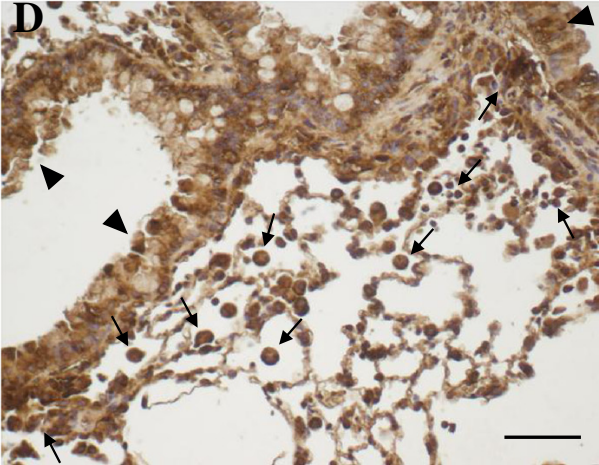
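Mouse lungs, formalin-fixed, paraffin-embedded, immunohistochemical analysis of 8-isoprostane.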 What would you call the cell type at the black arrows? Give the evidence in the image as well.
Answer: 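The arrows point to many rounded, free-lying cells within alveolar spaces and near the airway. These cells are large and round with strongly brown cytoplasm.
Answer: inflammatory cells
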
